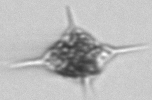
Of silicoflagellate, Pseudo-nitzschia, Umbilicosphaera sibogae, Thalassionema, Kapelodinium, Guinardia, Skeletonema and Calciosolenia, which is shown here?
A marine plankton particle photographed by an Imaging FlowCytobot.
silicoflagellate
